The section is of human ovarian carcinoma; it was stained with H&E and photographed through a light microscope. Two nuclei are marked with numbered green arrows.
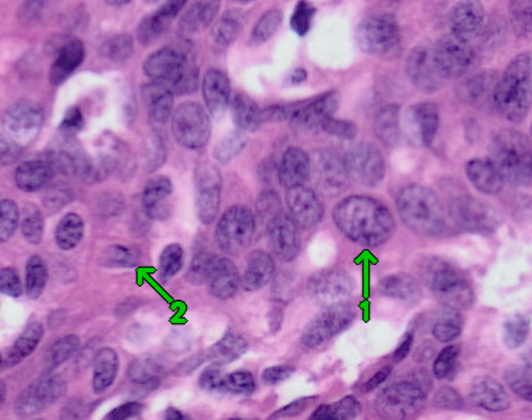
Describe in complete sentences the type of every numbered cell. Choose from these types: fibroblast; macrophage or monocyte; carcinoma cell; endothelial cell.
Cell 1 is a carcinoma cell. Cell 2 is an endothelial cell.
